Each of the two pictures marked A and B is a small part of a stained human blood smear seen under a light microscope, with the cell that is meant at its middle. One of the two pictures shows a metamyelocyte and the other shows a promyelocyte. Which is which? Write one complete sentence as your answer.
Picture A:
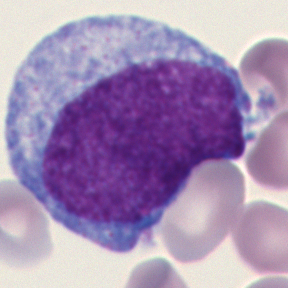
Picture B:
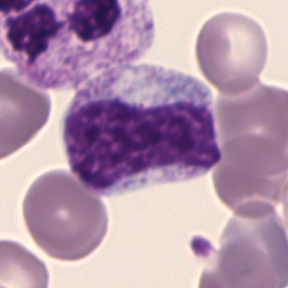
Picture B shows a metamyelocyte, while picture A shows a promyelocyte.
